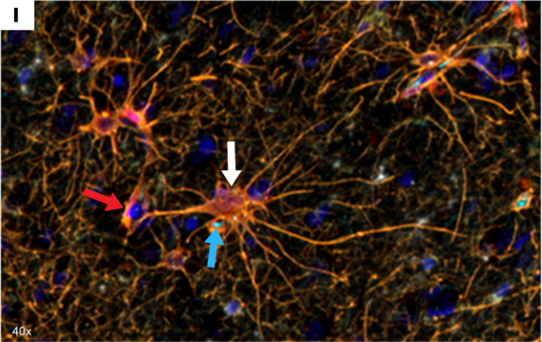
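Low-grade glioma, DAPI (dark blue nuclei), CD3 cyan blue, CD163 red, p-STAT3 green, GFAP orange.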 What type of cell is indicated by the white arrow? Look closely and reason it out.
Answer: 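Astrocyte. Many long, fine, branching orange processes radiate from it in a star shape. Other similar star-shaped orange cells lie nearby.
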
